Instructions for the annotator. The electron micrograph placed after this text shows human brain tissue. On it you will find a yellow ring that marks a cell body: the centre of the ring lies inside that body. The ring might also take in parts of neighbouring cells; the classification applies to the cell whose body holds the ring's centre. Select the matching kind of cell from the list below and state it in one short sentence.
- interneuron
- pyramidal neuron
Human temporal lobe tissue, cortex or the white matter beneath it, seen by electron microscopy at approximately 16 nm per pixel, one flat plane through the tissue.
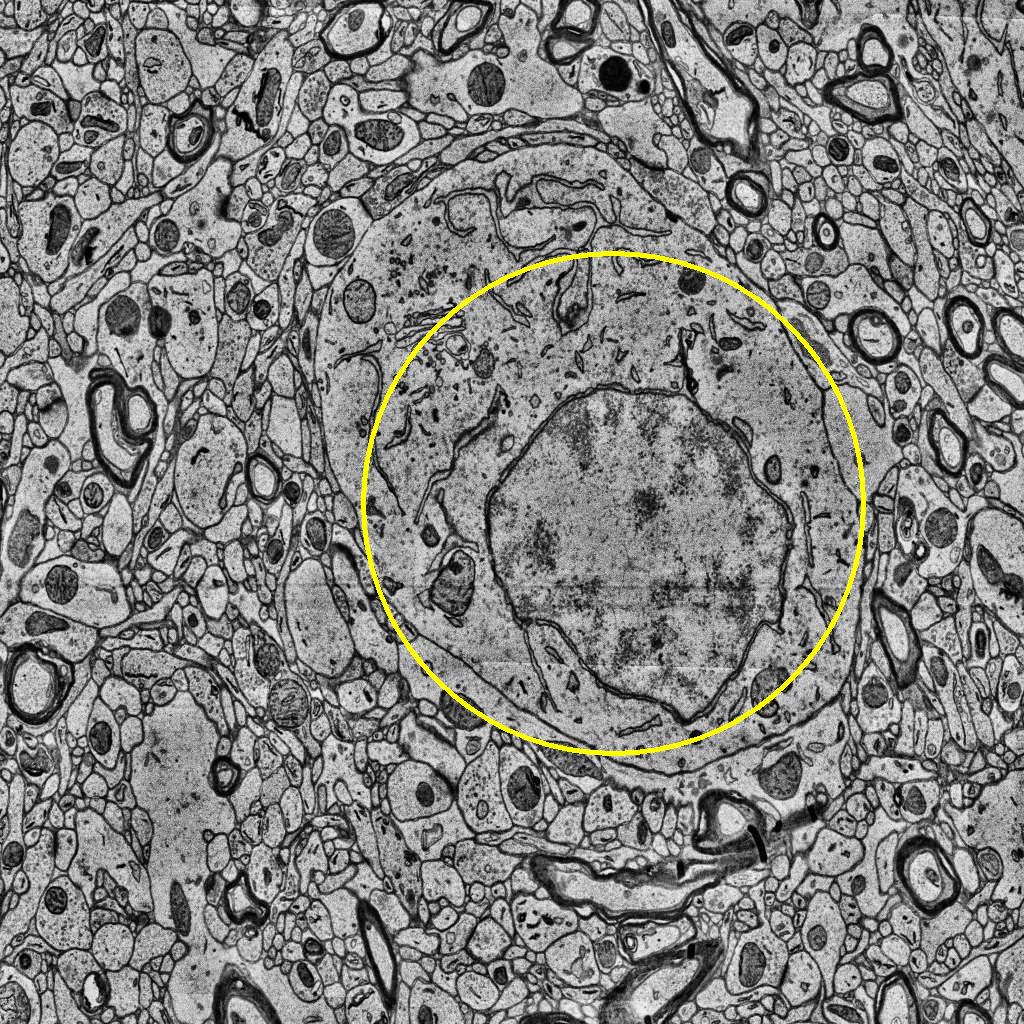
The centre of the ring lies in the cell body of a pyramidal neuron.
